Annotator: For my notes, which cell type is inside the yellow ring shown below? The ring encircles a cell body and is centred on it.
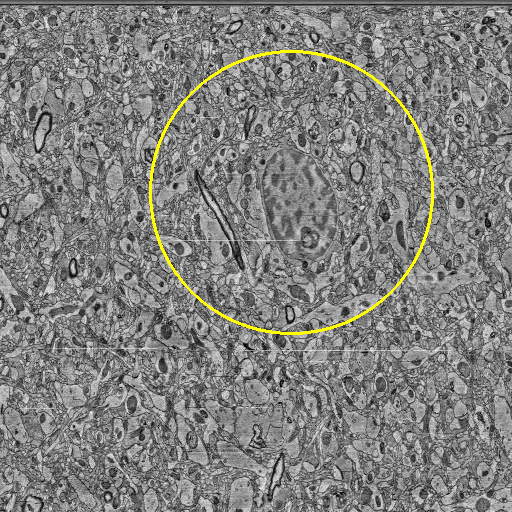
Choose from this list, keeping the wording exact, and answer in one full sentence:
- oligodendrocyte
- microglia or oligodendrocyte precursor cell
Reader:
At the centre of the yellow ring there is an oligodendrocyte, as shown in the picture.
